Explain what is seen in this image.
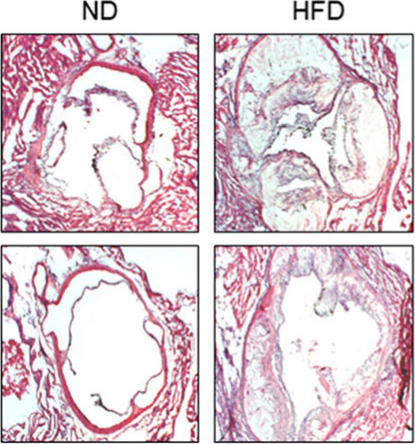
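These are cross-sections through the aortic sinus, the root of the aorta where valve cusps attach. In the left images the wall is thin and smooth and the thin valve flaps project freely into an open lumen. In the right images the lumen is much narrowed by pale, bulky masses that bulge inward from the wall, giving a lobulated outline; these thickened lesions are pale purplish-grey with faint red tinges, and the surrounding wall appears thinner and less intensely red.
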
